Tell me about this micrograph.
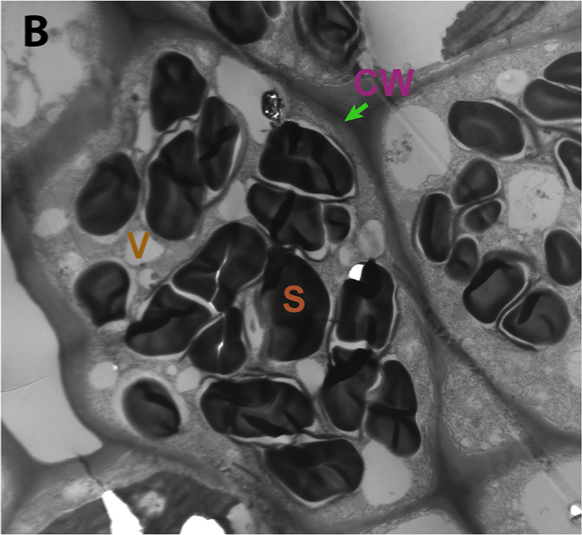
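The granules are large, very dark, rounded to kidney-shaped bodies, many with pale cracks or clefts, and they crowd together so that they occupy most of each cell. Only small pale vacuoles remain between them, unlike the single large vacuole of a photosynthetic cell. The cell walls between neighbouring cells are thick and appear as broad grey bands. Adjacent cells on the right are likewise packed with similar dark granules.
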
